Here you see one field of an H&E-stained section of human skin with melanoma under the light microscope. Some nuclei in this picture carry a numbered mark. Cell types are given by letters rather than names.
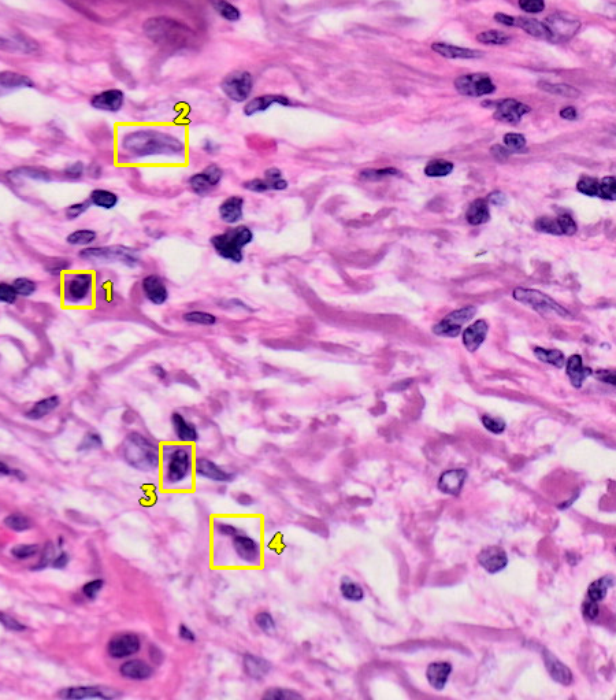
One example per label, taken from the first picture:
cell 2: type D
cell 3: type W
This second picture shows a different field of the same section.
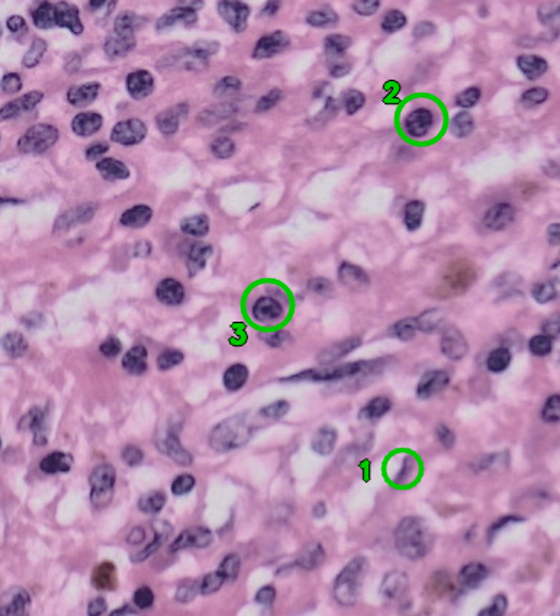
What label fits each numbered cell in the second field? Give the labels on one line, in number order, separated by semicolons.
type D; type W; type W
